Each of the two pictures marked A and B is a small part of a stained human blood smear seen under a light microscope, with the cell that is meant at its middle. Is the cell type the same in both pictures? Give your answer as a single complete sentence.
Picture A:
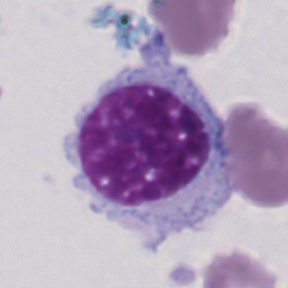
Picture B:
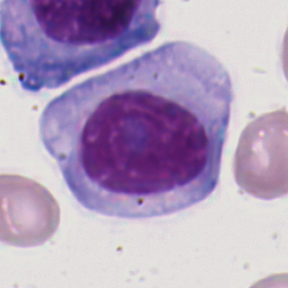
Yes, both are plasma cells.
